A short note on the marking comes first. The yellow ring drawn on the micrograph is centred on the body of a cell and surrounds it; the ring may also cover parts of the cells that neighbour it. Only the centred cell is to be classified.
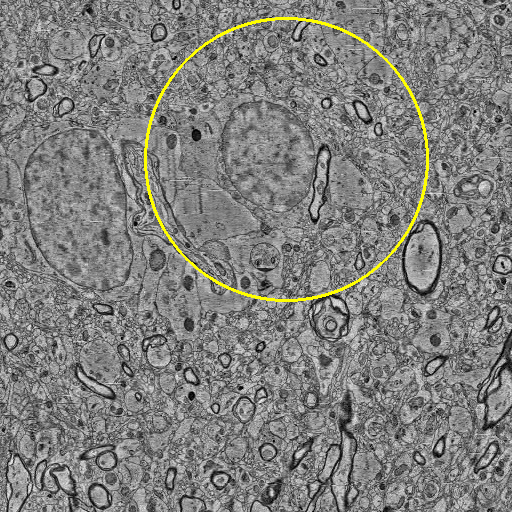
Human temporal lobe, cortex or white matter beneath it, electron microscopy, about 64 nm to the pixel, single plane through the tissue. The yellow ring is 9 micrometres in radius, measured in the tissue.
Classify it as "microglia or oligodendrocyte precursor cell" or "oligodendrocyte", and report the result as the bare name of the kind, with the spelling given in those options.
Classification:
oligodendrocyte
